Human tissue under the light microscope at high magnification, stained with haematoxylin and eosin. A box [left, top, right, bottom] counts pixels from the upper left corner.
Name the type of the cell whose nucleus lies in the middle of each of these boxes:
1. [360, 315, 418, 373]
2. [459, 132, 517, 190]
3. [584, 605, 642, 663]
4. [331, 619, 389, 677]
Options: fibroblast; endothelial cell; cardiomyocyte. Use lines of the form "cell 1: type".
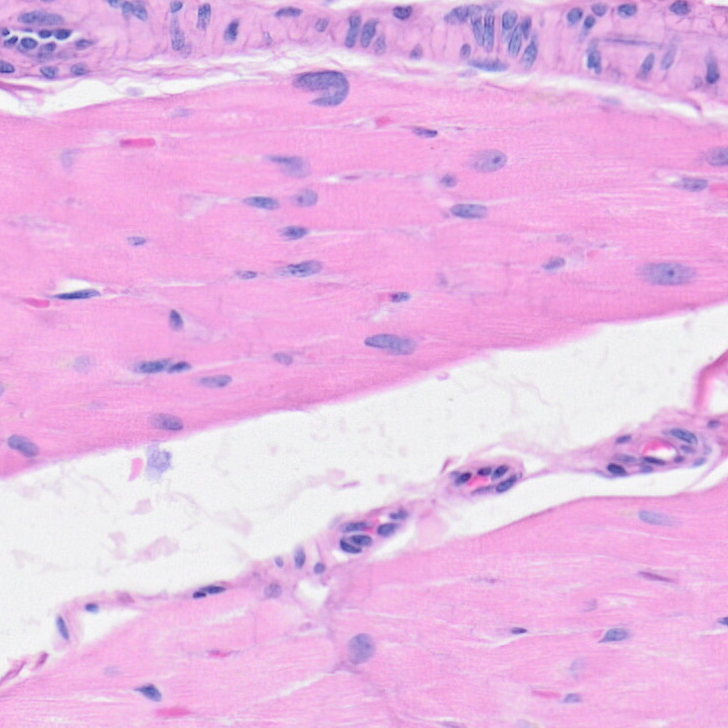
cell 1: cardiomyocyte
cell 2: cardiomyocyte
cell 3: endothelial cell
cell 4: cardiomyocyte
